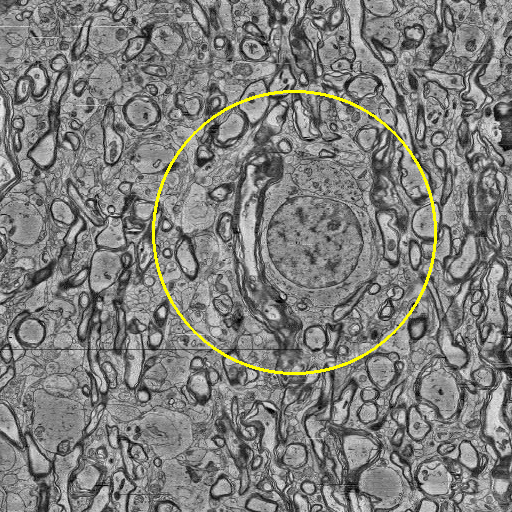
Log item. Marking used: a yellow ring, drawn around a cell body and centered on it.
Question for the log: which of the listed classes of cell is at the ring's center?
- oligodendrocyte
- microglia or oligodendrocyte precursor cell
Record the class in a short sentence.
At the center of the ring lies a microglial cell or oligodendrocyte precursor cell.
